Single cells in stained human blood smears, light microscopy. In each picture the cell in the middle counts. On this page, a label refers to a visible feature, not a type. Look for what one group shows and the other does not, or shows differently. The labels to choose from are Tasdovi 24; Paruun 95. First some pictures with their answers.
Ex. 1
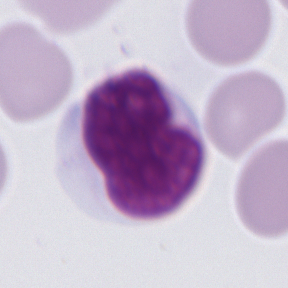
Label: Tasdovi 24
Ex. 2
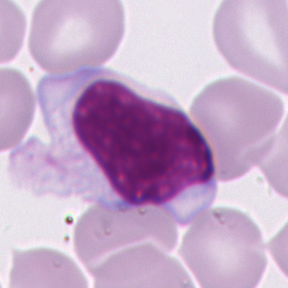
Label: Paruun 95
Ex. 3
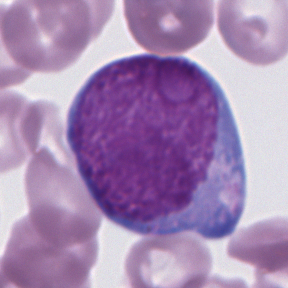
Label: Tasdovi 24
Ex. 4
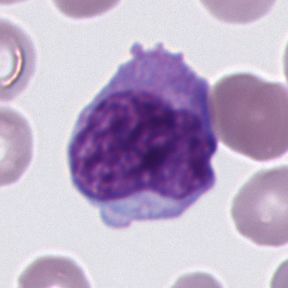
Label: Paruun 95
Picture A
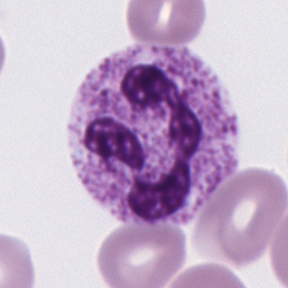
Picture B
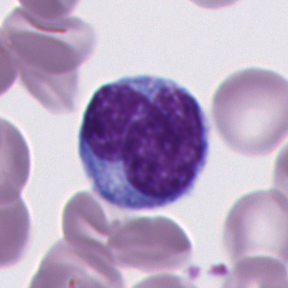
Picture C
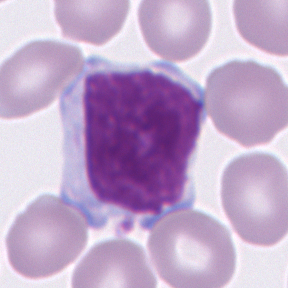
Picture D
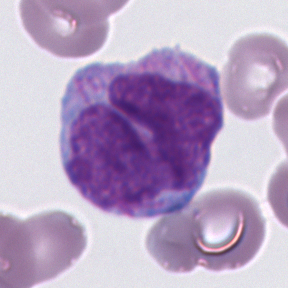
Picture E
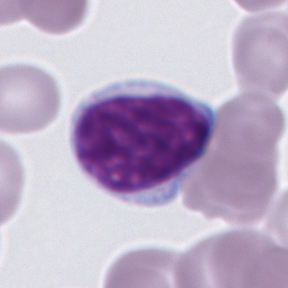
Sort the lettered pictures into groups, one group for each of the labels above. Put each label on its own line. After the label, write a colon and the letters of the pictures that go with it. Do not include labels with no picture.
Tasdovi 24: A, B, E
Paruun 95: C, D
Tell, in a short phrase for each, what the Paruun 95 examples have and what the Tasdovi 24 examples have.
Paruun 95, ragged outline or projections; Tasdovi 24, smooth outline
